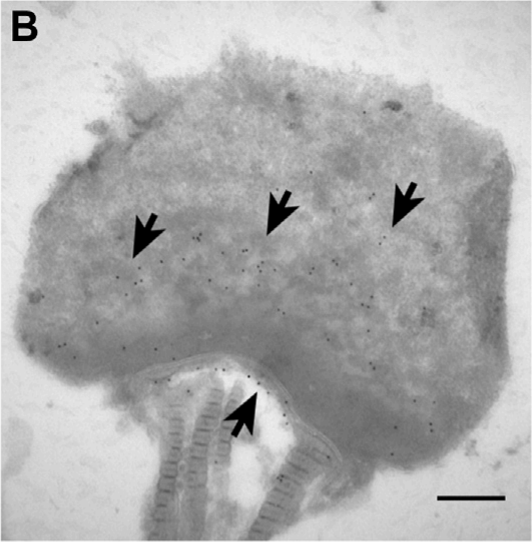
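A broad, flattened sperm head cut obliquely fills most of the field, its content finely granular and paler in the middle, with a denser rim toward the base. At its base a narrow neck gives rise to several segmented, cross-striated columns running downward, the connecting piece. Small black gold particles are scattered over the head and gather near the junction of head and neck.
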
